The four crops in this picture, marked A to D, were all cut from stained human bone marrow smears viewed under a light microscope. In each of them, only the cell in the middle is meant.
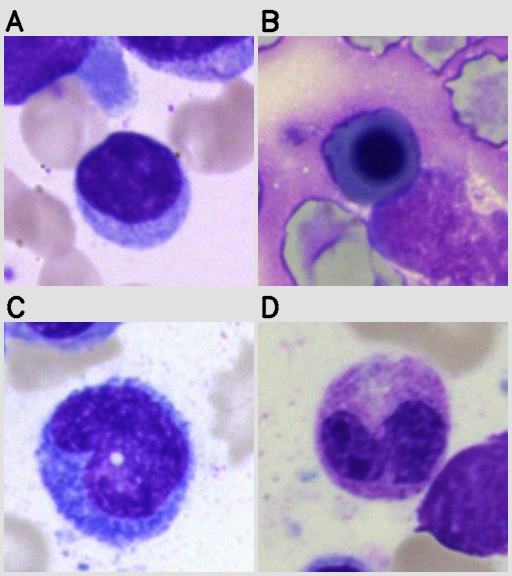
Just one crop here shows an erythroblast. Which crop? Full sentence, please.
On review of the set, crop B is the one showing an erythroblast.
